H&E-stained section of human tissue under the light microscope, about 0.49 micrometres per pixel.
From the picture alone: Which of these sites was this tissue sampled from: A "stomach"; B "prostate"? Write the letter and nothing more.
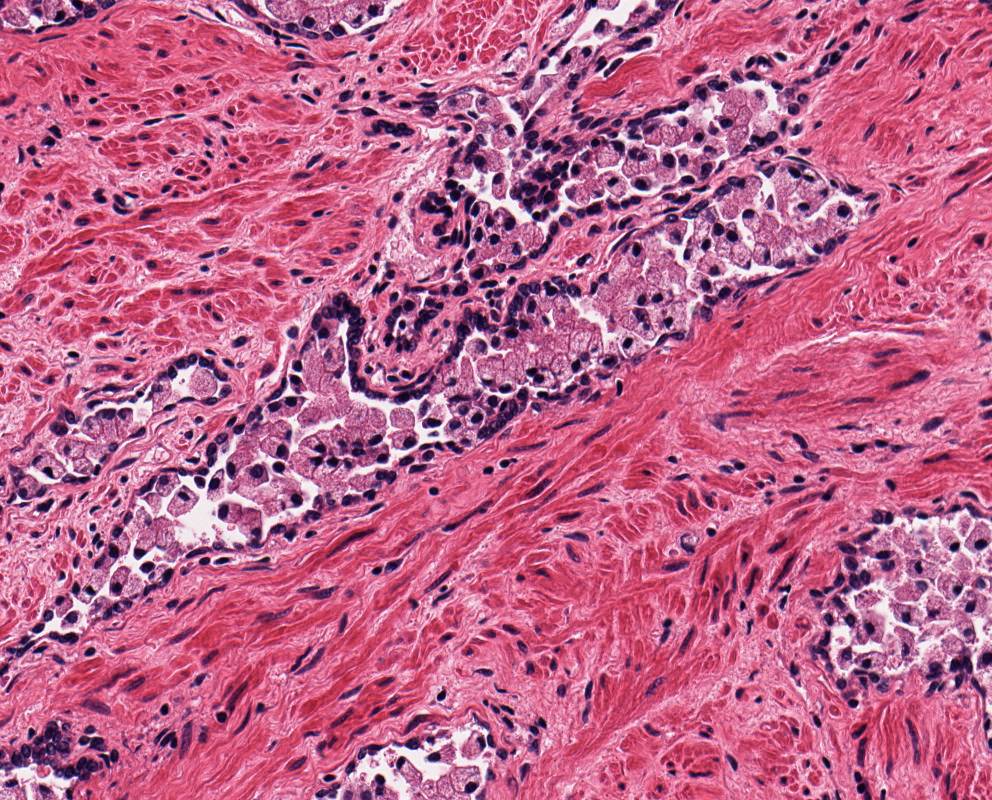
B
